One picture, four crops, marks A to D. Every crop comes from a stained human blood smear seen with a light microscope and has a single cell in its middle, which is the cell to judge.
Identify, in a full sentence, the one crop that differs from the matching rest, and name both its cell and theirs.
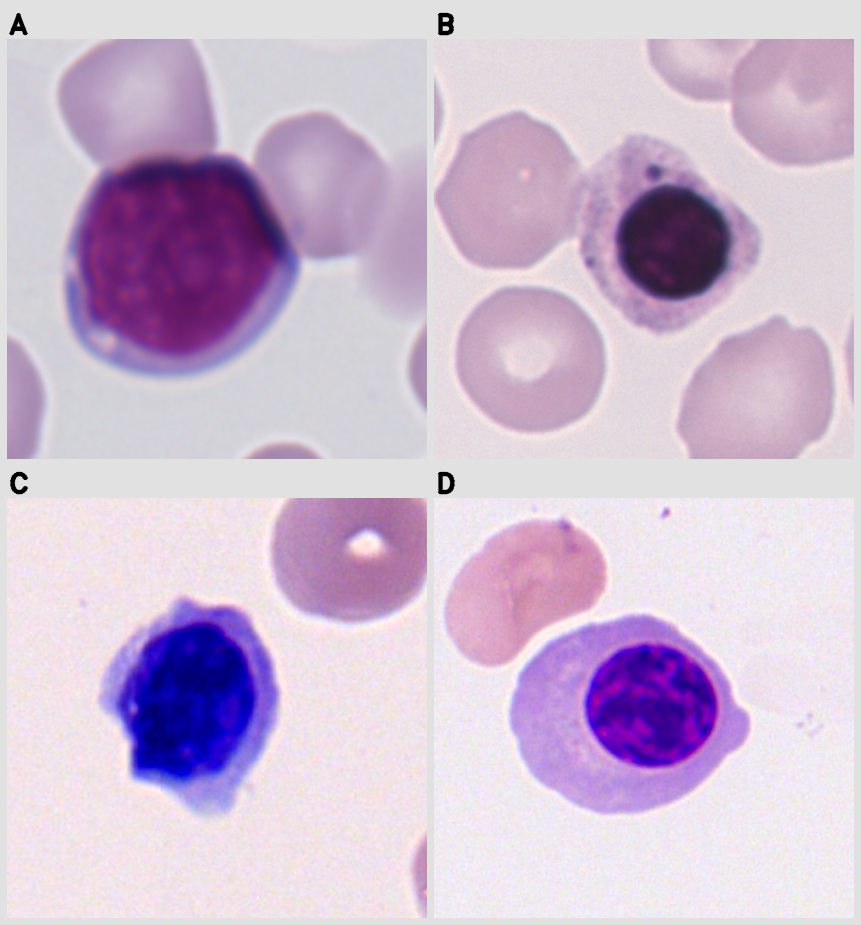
Crop A is a lymphocyte, while the rest of the set consists of erythroblasts.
